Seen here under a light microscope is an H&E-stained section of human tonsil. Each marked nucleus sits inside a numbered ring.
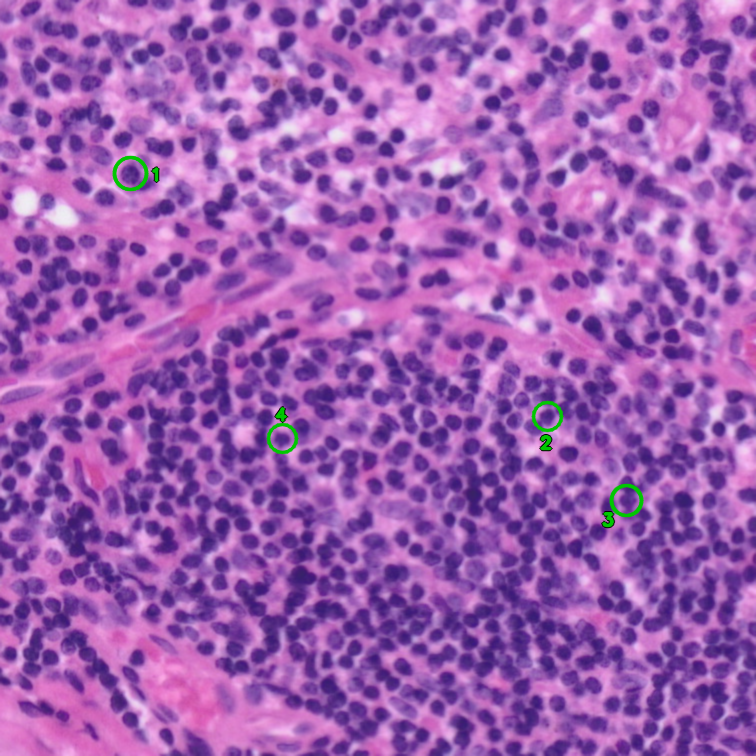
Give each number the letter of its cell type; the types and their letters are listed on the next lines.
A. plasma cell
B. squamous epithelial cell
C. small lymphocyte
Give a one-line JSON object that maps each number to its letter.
{"1": "A", "2": "C", "3": "C", "4": "C"}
